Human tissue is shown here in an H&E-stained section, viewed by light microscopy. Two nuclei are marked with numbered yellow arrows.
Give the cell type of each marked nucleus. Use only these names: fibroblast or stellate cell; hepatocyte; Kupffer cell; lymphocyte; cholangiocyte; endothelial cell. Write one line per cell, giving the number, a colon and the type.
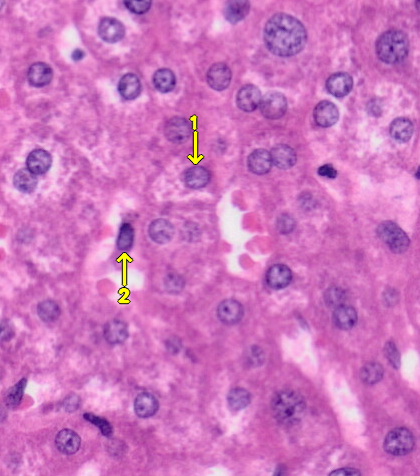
1: hepatocyte
2: Kupffer cell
